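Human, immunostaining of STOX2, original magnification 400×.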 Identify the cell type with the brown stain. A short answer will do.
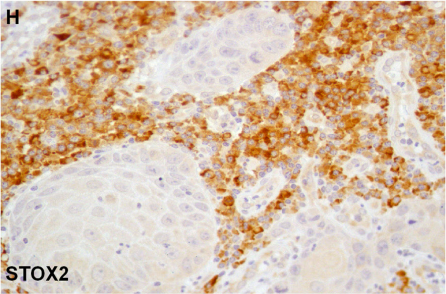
Stromal plasma cells.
